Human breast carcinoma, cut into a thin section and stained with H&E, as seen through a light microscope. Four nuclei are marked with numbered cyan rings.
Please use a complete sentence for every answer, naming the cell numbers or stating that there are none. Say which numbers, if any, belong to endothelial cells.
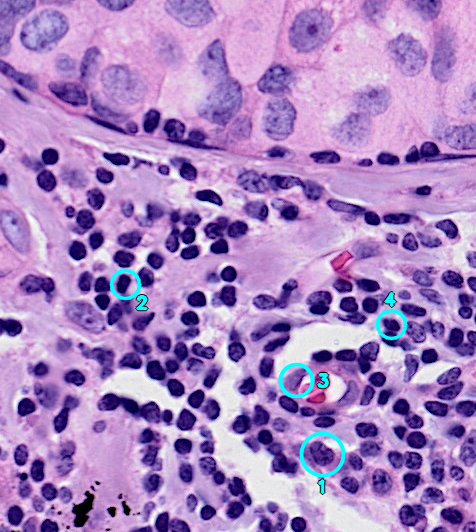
Only the nucleus marked 3 is that of an endothelial cell.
